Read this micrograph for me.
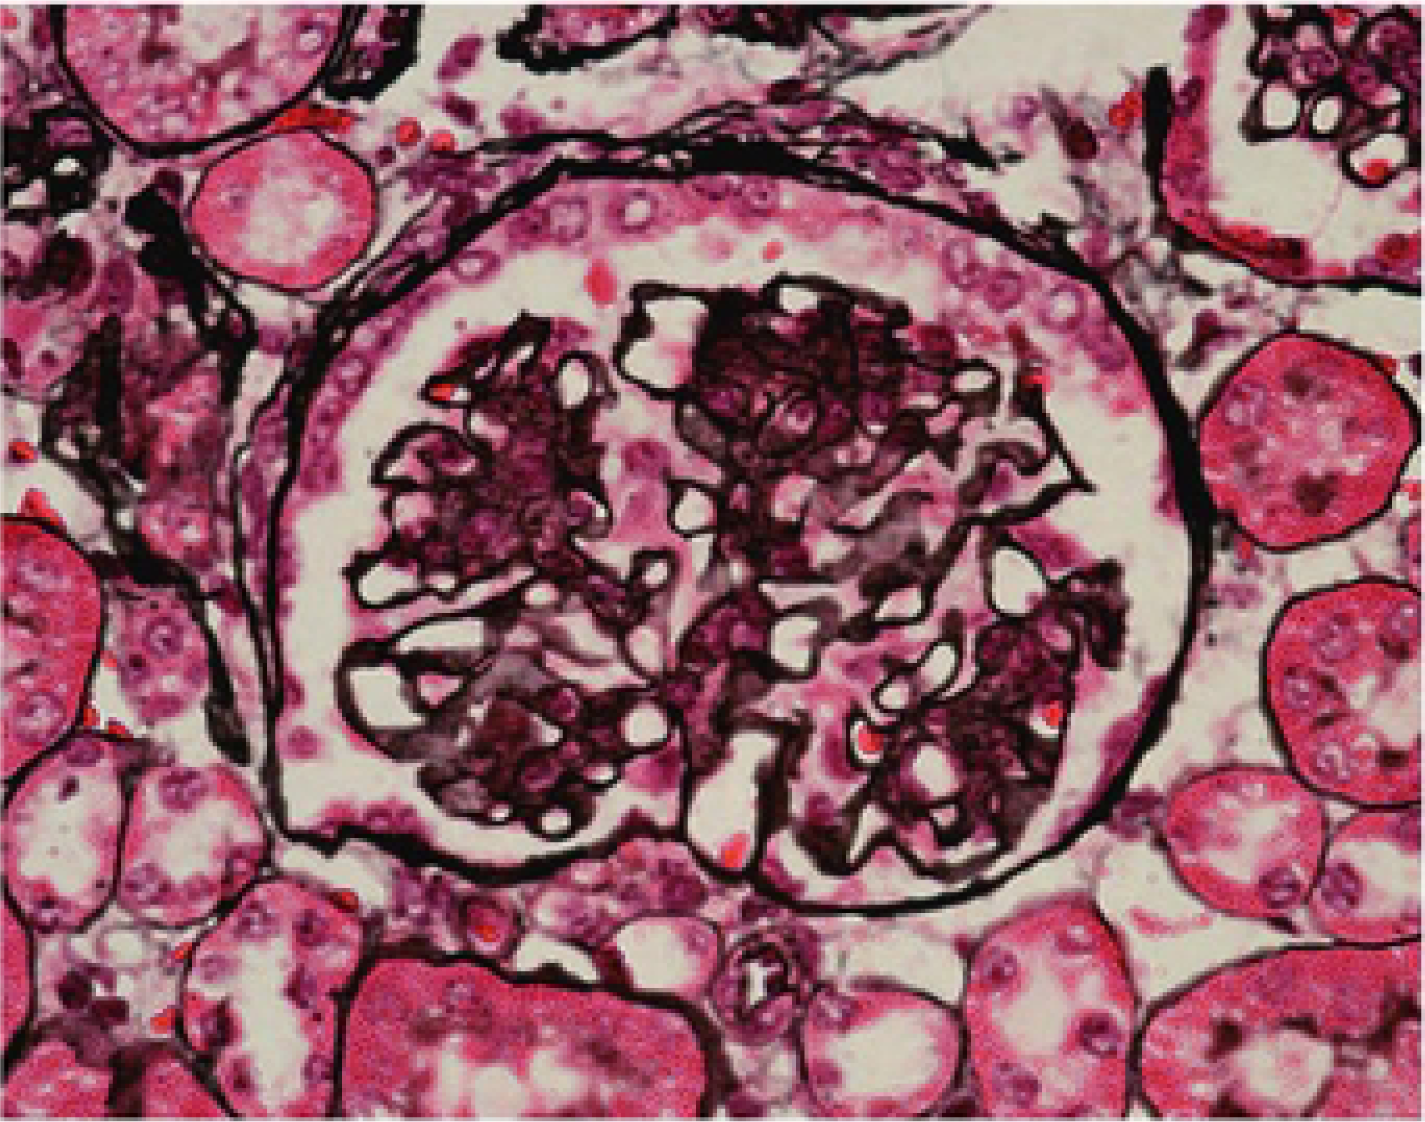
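A kidney glomerulus stained with silver, in which the basement membranes appear black against pink cells. The tuft is lobulated, with thick, densely black capillary loop walls and dark central areas, inside a capsule lined by a black membrane. Round tubule cross-sections with black basement membranes and pink epithelium surround the glomerulus.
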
